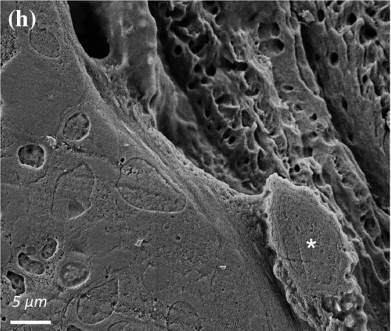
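At the edge of a dense, smooth bone fragment a single oval cell body lies partly embedded at the surface, its outline clearly raised and finely textured. Nearby, on the smooth fragment, several round to oval outlines of other lacunae or cell profiles are seen. Along the cell, a band of fibrous matrix runs in a consistent direction, giving a streaked, aligned appearance. To the other side lies a highly porous, sponge-like material with many small rounded holes.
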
